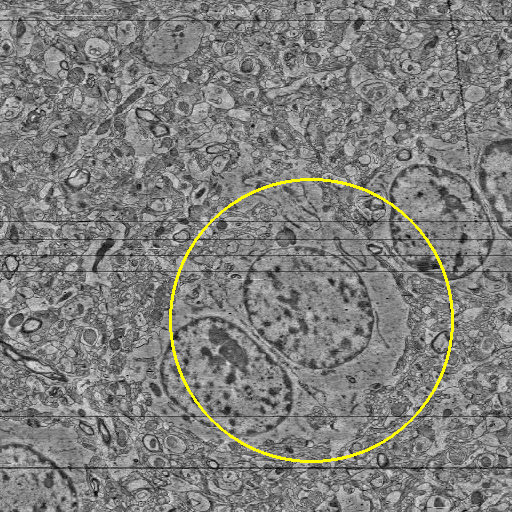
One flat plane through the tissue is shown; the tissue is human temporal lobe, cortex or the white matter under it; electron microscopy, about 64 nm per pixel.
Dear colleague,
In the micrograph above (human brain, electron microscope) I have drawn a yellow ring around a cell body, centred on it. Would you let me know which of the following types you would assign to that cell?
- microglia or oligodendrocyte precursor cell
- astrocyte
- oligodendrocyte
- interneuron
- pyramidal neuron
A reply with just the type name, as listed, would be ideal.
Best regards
astrocyte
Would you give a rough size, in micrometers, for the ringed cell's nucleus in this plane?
Roughly 9 micrometres by 7 micrometres, in this plane.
